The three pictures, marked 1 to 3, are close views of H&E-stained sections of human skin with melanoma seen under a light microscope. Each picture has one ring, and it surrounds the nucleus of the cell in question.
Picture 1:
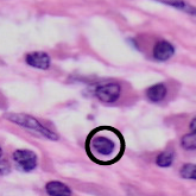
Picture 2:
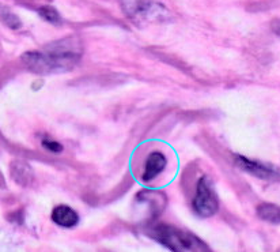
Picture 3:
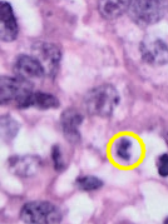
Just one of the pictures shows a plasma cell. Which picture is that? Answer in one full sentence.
The plasma cell is the one in picture 1.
